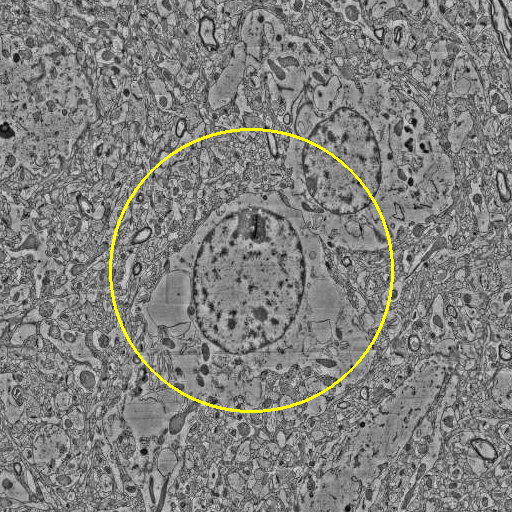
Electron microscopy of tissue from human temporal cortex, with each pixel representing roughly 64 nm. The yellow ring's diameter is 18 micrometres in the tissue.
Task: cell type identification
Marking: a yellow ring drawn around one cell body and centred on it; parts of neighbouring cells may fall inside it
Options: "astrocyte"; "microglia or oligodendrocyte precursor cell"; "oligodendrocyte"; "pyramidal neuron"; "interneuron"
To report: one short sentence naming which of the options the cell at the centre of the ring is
The cell at the centre of the ring is an astrocyte.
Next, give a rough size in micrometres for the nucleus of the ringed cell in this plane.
In this plane the nucleus measures roughly 9 by 7 micrometres.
